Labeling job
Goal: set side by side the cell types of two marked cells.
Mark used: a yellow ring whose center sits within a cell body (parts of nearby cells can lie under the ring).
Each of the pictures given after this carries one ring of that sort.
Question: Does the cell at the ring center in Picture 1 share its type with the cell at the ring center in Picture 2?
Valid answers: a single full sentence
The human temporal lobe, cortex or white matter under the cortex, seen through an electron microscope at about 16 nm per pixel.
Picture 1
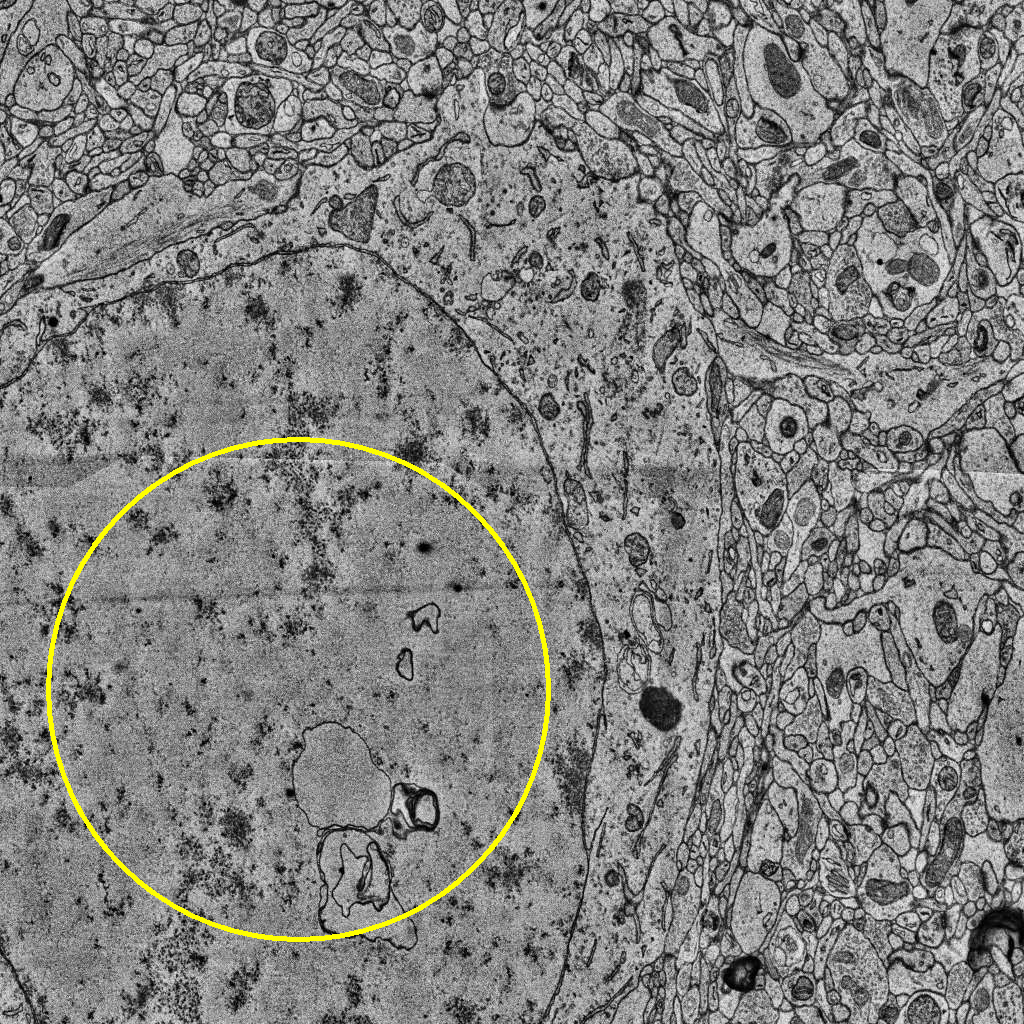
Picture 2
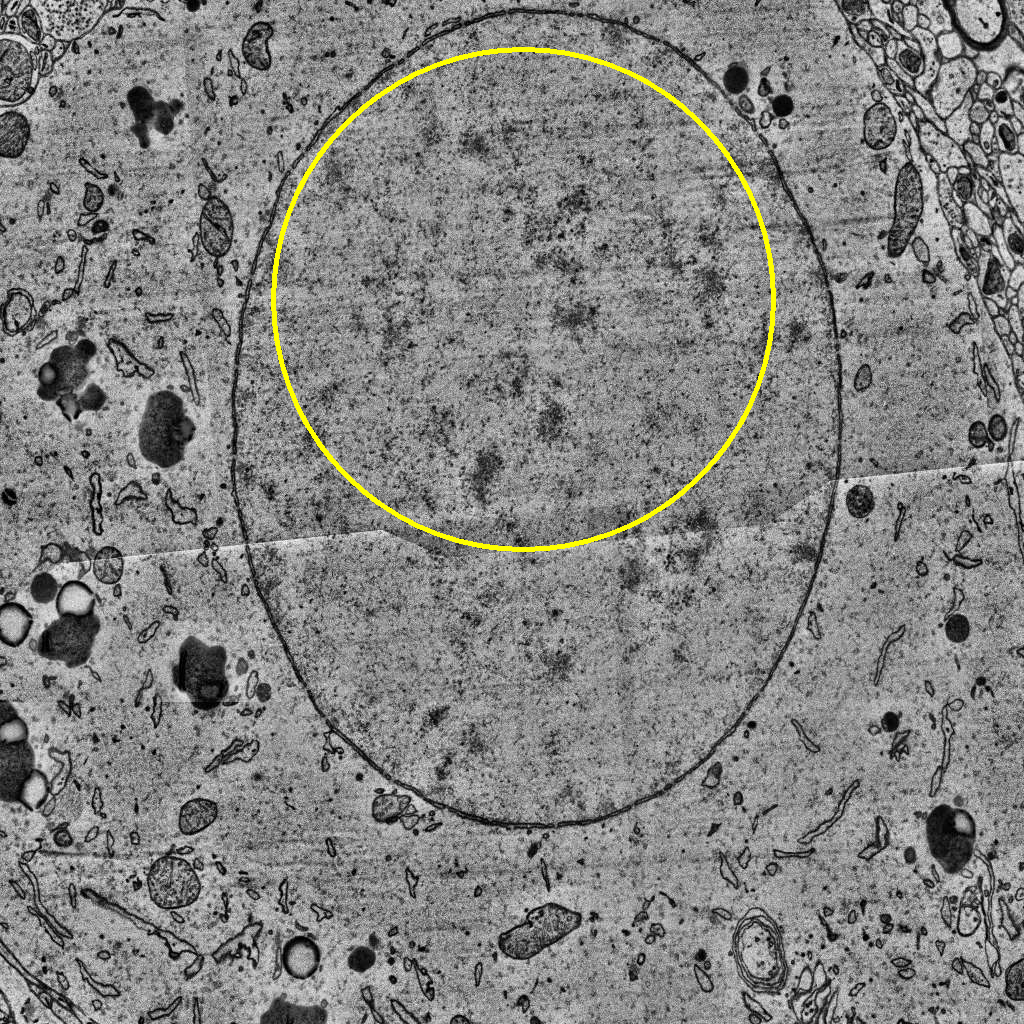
Yes, in Pictures 1 and 2 the cells at the ring centers share one type.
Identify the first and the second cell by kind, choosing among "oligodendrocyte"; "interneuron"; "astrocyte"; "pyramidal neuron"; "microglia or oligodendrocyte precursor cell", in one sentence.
The first and the second cell are each a pyramidal neuron.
